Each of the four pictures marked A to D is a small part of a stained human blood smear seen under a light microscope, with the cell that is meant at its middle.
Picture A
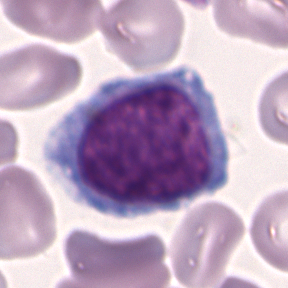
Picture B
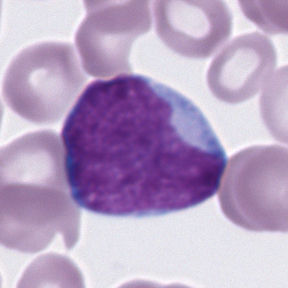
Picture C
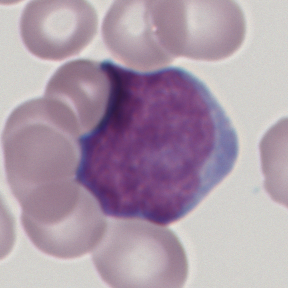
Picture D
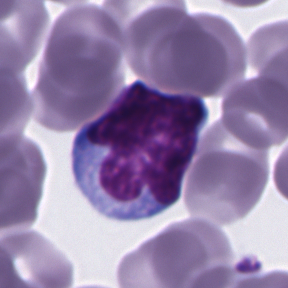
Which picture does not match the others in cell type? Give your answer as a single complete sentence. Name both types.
The others show myeloblasts, but picture D shows a typical lymphocyte.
